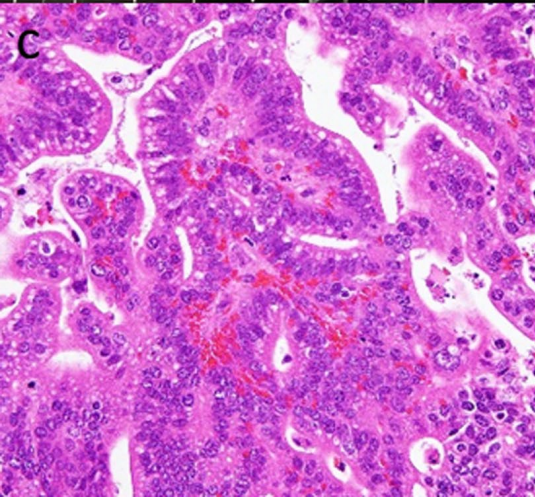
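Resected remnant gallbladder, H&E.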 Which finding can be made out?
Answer: enlarged nuclei, and prominent nucleoli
